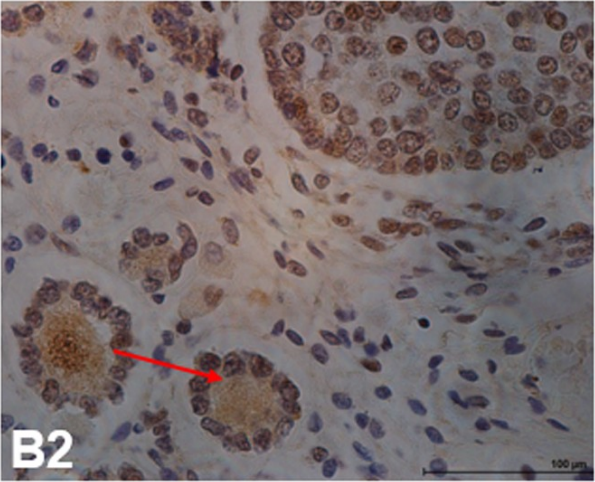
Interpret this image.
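This is ovarian tissue with small follicles and a larger cluster of follicle cells in a loose stroma. In the small follicles a large central cell with finely granular, brown-stained cytoplasm is ringed by a single layer of cuboidal cells with dark, brownish nuclei. At the upper right a large group of many closely packed cells with round, brown-tinged nuclei fills much of the field, while the stroma between holds scattered cells with small blue nuclei.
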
